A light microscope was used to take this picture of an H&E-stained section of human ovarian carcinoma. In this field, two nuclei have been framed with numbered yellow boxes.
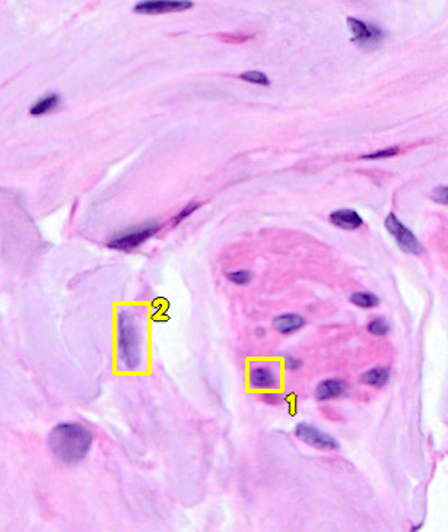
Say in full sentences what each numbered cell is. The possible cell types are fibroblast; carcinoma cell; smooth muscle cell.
Cell 1 is a smooth muscle cell. Cell 2 is a fibroblast.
